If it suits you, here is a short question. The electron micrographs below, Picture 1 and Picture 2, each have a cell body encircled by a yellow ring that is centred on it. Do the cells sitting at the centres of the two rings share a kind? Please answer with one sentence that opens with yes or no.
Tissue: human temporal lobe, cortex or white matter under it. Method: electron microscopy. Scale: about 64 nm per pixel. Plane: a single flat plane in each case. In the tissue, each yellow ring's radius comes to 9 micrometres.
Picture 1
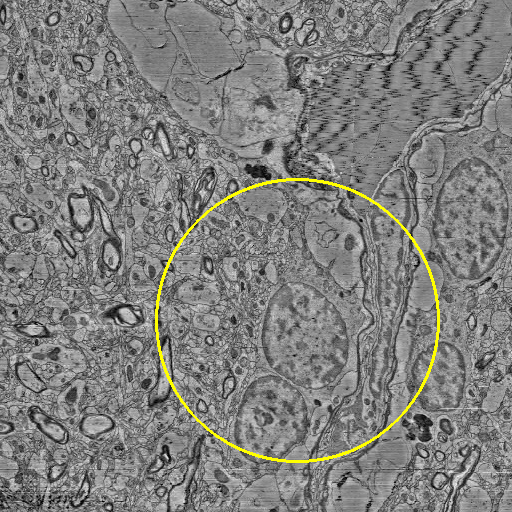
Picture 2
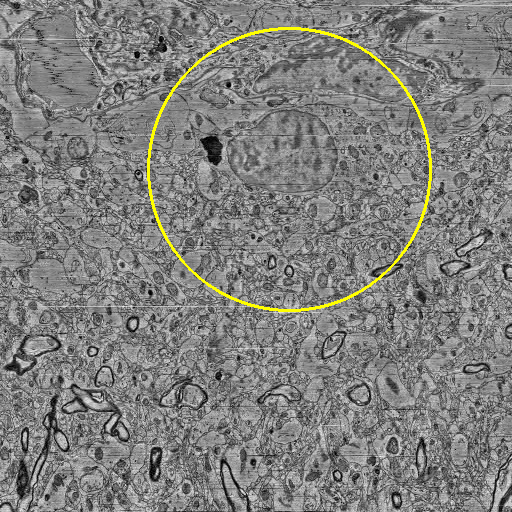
Yes, the two cells sitting at the ring centres share a single kind.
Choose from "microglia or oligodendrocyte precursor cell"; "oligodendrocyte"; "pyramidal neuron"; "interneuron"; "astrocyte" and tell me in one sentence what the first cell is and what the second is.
Each of the two rings is centred on an oligodendrocyte.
